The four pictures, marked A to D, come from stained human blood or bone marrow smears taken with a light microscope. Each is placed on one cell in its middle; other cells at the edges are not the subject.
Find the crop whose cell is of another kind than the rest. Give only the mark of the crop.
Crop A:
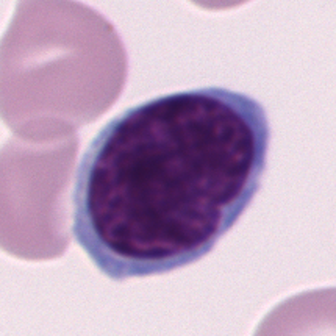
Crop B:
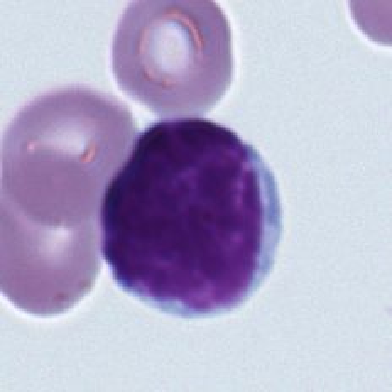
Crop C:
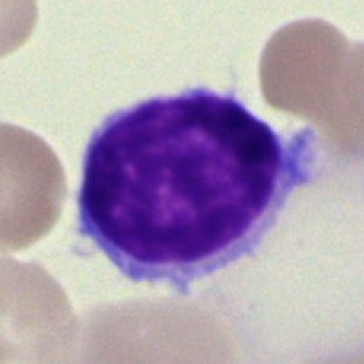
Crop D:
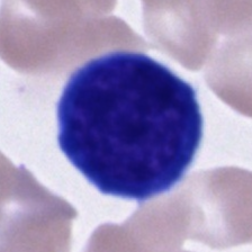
D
